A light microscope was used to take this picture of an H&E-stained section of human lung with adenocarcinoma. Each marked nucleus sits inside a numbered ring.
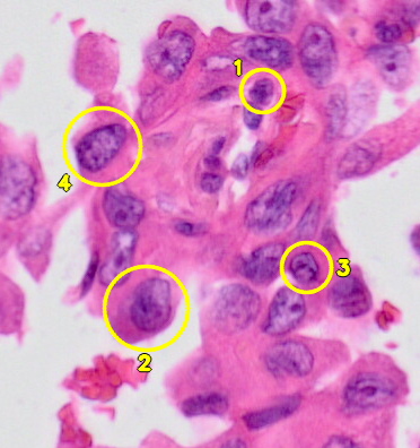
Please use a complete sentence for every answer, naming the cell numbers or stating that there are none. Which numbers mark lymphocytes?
Of the cells carrying numbers, just cell 1 is a lymphocyte.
